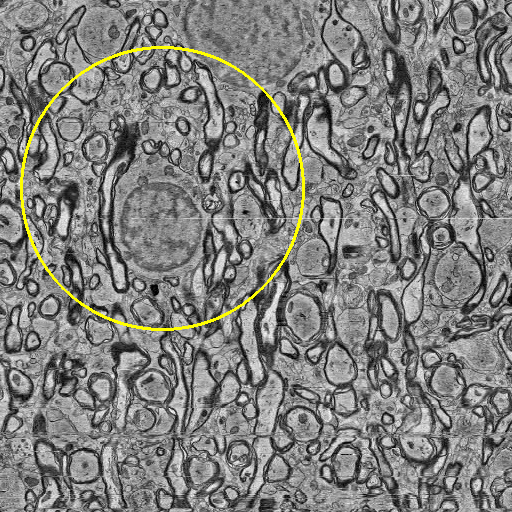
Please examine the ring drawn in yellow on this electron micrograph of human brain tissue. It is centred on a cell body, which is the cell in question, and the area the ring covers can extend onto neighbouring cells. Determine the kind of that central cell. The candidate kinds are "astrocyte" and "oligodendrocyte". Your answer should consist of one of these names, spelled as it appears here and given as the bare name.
oligodendrocyte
